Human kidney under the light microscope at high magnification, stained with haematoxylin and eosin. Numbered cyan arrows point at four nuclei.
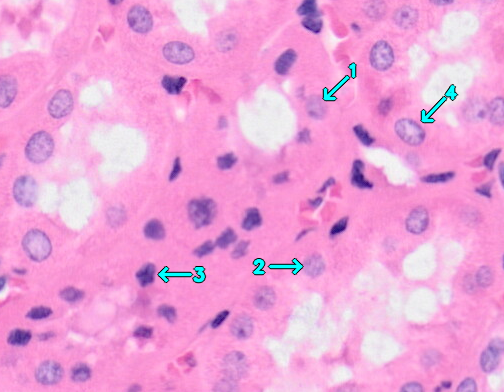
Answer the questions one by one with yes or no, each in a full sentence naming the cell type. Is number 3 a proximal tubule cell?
No, the cell denoted 3 is a loop of Henle or distal tubule cell rather than a proximal tubule cell.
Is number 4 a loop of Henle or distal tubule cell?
No, cell 4 is identified not as a loop of Henle or distal tubule cell but as a proximal tubule cell.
